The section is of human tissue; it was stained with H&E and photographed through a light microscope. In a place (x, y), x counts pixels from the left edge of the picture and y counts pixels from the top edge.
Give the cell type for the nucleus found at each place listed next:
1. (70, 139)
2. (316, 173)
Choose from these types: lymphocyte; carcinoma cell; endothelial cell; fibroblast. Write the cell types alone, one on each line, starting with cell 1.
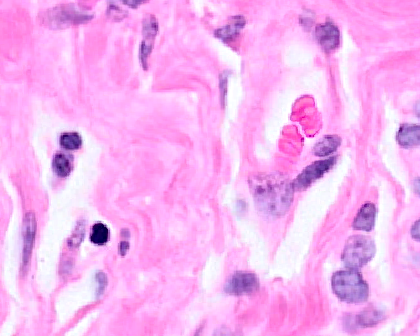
lymphocyte
endothelial cell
